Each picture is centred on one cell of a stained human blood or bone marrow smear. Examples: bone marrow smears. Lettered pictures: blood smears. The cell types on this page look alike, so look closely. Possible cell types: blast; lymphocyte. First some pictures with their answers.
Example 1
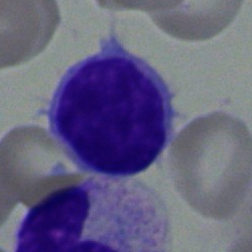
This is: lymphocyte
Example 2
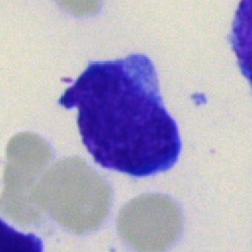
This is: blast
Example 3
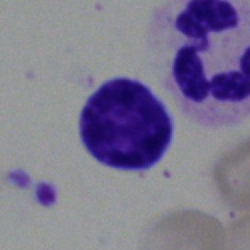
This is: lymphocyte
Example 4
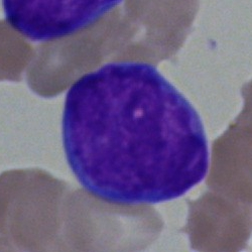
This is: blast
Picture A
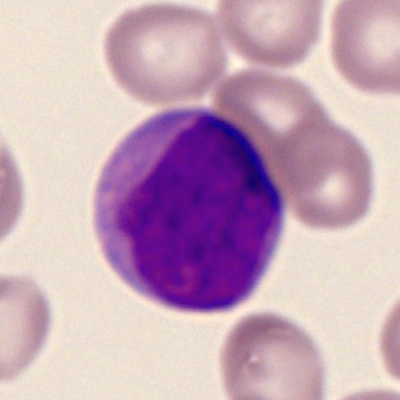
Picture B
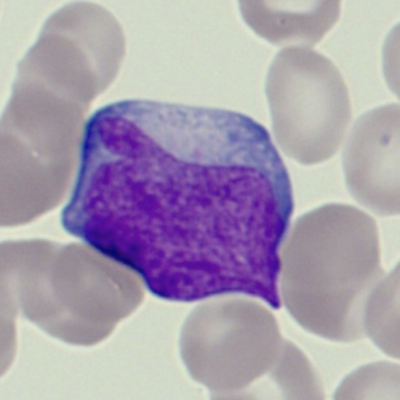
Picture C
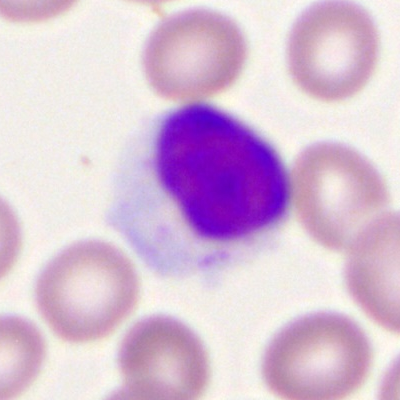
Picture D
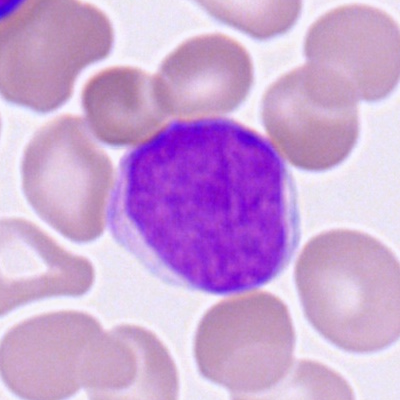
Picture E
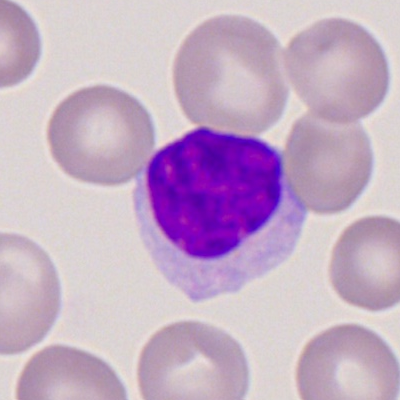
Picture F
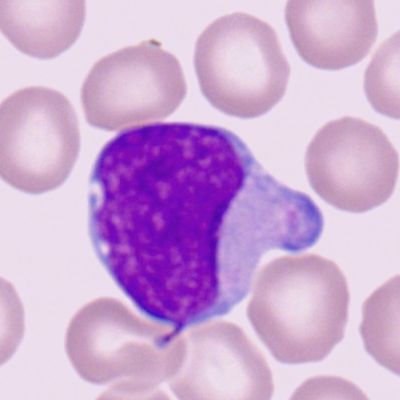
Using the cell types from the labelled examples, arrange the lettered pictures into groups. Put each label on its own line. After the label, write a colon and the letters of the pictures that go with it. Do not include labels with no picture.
blast: A, B, D, F
lymphocyte: C, E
